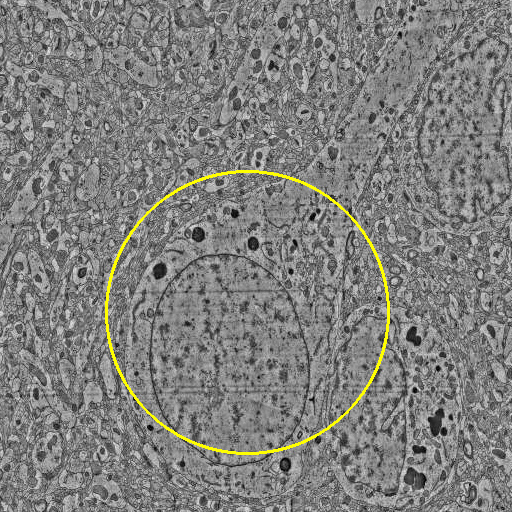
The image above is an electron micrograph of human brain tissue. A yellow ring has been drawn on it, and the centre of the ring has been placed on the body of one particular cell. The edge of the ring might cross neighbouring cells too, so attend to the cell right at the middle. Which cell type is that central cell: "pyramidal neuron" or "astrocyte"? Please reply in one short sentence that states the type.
The central cell in the ring is a pyramidal neuron.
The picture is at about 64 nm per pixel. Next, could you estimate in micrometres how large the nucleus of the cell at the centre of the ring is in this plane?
In this plane the nucleus spans approximately 14 by 10 micrometers.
